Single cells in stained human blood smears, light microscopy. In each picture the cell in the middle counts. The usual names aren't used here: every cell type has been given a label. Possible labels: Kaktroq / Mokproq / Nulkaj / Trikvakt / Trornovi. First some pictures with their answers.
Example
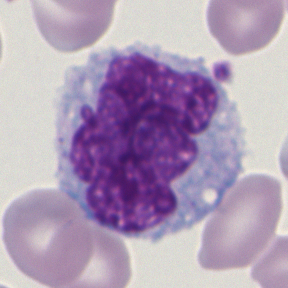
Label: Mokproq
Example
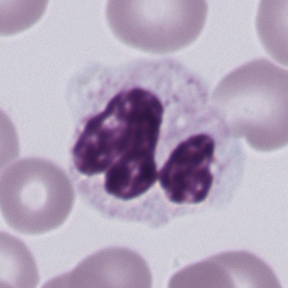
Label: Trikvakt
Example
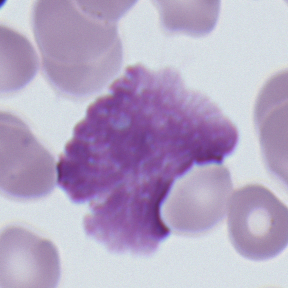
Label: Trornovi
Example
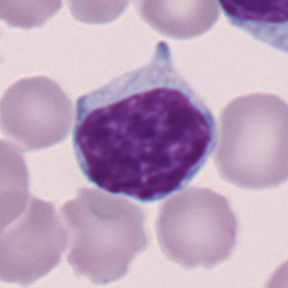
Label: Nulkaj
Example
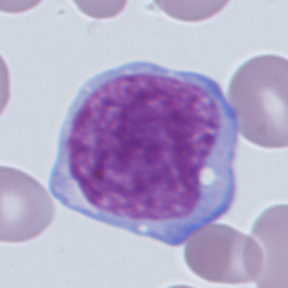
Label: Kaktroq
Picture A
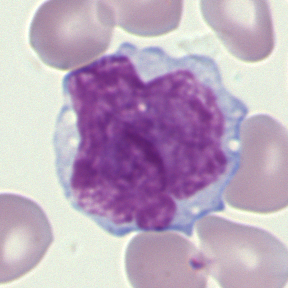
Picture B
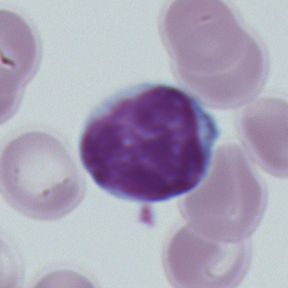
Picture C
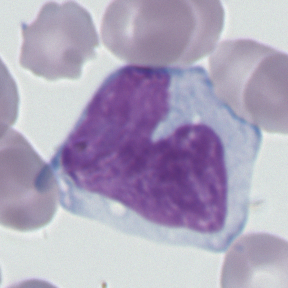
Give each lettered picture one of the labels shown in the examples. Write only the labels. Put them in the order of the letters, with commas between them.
Kaktroq, Nulkaj, Kaktroq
